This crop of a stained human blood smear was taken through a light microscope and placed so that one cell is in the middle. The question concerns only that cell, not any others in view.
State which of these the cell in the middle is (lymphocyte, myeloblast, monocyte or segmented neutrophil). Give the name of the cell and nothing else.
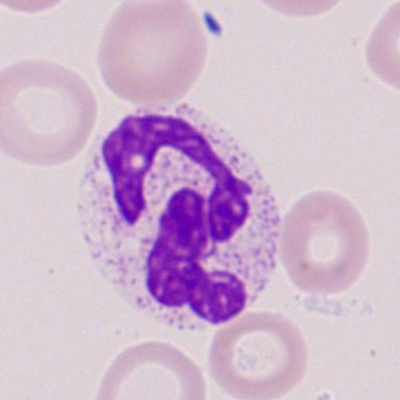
segmented neutrophil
